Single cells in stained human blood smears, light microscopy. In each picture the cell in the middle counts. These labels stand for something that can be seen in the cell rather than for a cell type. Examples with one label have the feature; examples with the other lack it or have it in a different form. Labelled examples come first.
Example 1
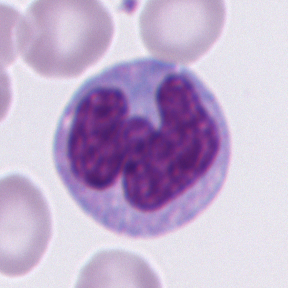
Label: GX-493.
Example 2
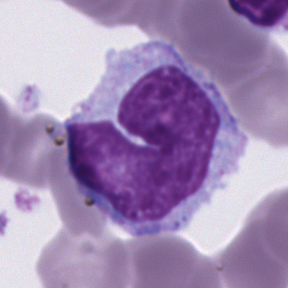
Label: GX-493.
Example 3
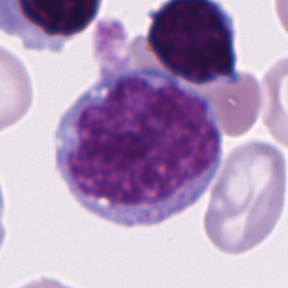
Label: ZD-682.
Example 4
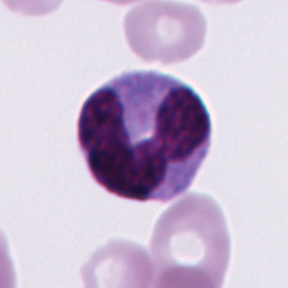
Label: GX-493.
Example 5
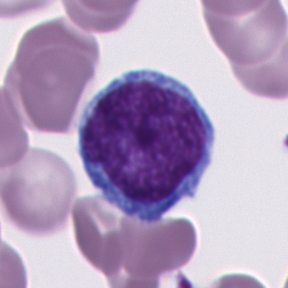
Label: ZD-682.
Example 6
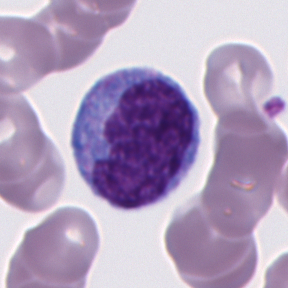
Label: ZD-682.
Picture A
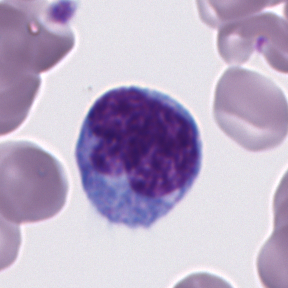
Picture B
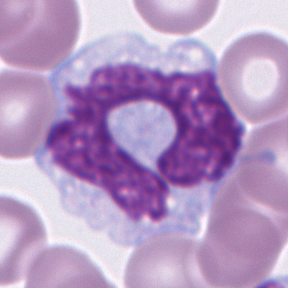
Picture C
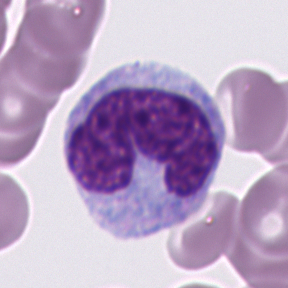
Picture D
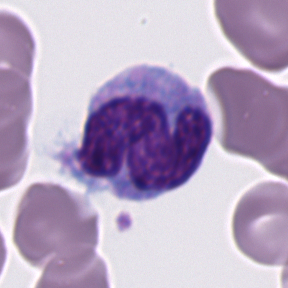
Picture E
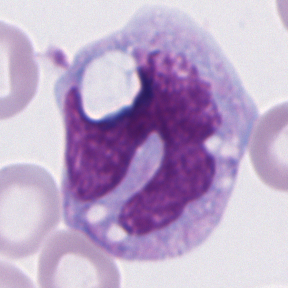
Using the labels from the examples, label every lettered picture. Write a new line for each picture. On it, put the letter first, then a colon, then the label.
A: ZD-682.
B: GX-493.
C: GX-493.
D: GX-493.
E: GX-493.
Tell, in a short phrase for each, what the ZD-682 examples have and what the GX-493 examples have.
Seen in ZD-682: round or oval nucleus; seen in GX-493: band-shaped nucleus.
